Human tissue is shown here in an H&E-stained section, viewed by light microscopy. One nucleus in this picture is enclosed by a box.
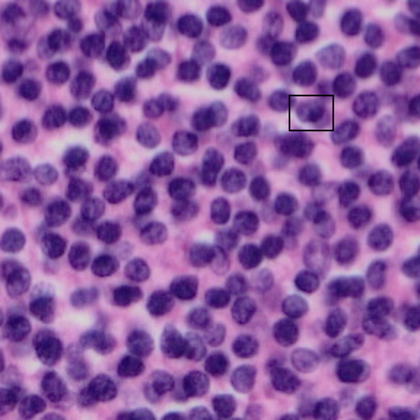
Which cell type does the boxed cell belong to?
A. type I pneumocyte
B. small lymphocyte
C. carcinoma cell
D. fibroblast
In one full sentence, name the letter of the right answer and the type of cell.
Option B is the one that fits, as the boxed cell is a small lymphocyte.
